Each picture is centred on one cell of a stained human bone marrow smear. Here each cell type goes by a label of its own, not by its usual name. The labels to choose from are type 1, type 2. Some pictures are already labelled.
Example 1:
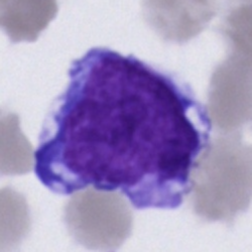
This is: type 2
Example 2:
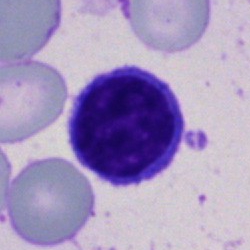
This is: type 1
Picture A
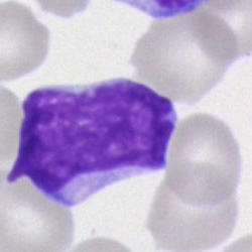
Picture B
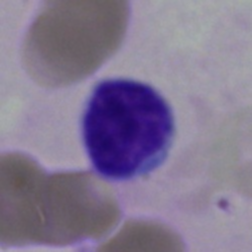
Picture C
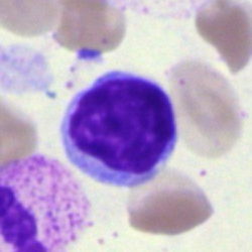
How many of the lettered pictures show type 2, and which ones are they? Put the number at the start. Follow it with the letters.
1: A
